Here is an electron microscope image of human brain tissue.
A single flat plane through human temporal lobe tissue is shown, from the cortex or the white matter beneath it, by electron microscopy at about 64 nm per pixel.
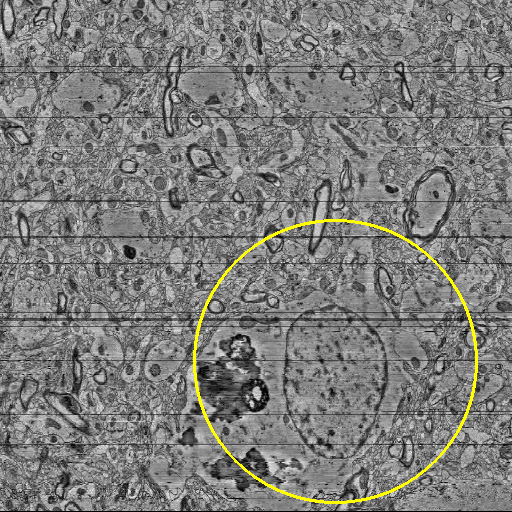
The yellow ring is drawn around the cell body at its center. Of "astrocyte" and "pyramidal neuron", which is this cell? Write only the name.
astrocyte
